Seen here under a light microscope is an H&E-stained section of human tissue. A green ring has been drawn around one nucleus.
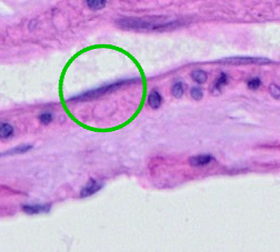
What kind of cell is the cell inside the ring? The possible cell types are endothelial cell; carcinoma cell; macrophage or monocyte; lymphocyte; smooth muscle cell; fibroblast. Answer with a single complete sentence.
Within this tissue, the cell inside the ring is an endothelial cell.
